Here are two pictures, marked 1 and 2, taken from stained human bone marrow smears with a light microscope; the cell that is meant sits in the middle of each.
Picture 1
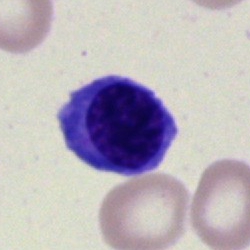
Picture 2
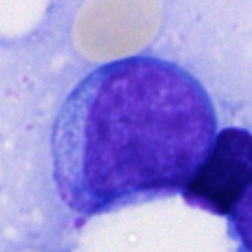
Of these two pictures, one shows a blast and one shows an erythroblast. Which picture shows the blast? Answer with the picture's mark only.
2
